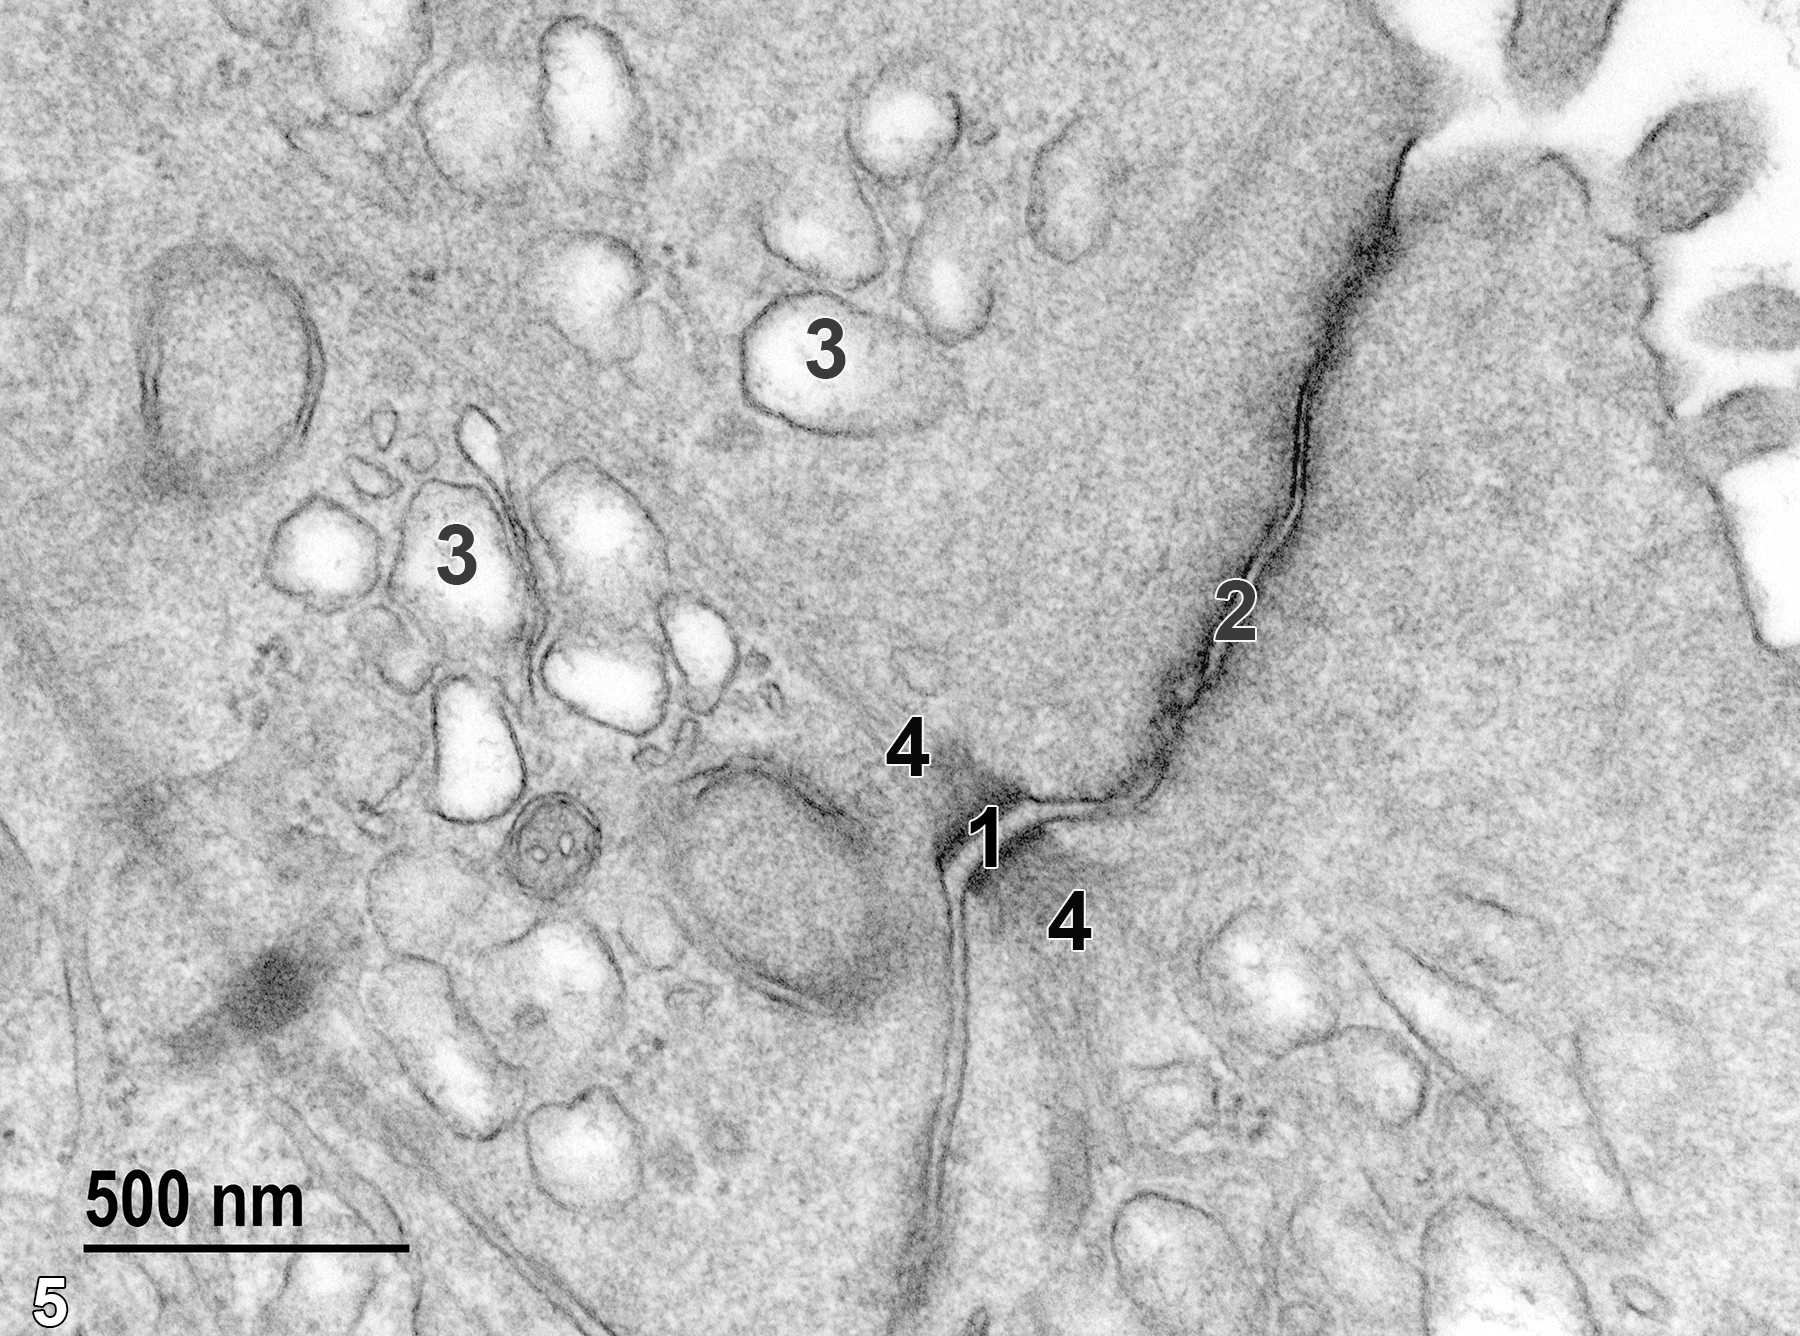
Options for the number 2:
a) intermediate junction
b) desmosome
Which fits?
a) intermediate junction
